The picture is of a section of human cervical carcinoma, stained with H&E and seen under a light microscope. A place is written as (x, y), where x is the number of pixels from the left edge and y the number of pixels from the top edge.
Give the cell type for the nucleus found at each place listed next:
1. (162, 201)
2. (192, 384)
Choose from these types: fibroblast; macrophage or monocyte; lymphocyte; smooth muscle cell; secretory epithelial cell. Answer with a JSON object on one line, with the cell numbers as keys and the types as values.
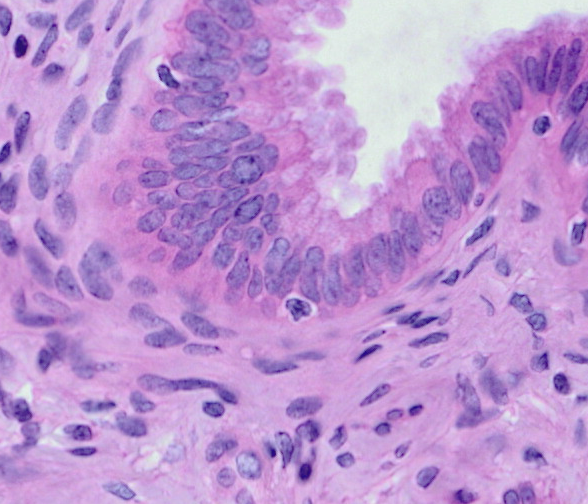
{"1": "secretory epithelial cell", "2": "fibroblast"}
